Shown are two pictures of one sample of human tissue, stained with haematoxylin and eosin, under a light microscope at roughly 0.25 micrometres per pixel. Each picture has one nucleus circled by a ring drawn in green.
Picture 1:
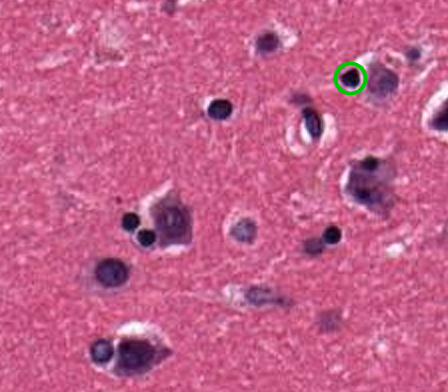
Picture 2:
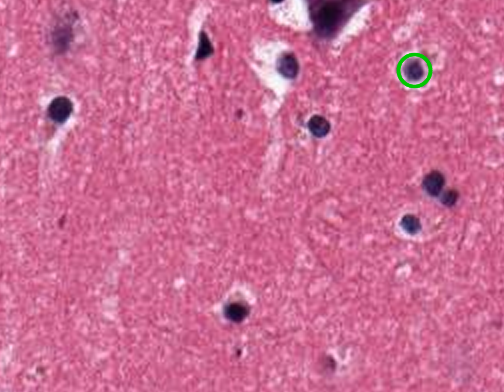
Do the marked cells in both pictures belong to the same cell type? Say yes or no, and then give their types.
Yes, both are oligodendrocytes.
